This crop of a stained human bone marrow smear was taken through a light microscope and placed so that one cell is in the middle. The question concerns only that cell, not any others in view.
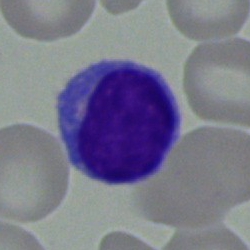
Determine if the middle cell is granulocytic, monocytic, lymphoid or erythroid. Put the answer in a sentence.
Lineage-wise, the cell in the center of the crop is lymphoid.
